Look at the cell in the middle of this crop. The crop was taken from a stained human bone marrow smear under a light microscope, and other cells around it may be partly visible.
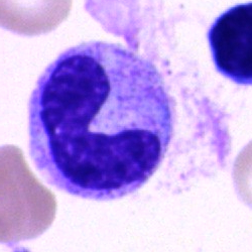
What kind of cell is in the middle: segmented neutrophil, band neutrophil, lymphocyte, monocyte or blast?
band neutrophil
